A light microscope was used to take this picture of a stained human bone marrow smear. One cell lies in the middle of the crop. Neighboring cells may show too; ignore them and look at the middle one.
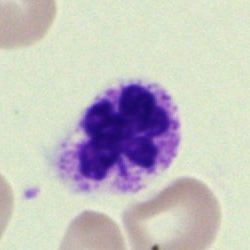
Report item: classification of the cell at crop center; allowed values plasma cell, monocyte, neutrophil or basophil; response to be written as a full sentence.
By type, the central cell of the crop is a neutrophil.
